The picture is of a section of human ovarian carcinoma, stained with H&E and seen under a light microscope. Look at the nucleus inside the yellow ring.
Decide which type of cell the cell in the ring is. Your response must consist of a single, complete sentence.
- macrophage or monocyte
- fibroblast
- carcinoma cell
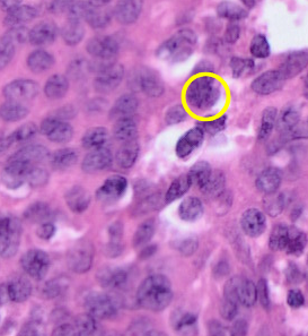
At the level of cell identity, the cell in the ring is a carcinoma cell.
